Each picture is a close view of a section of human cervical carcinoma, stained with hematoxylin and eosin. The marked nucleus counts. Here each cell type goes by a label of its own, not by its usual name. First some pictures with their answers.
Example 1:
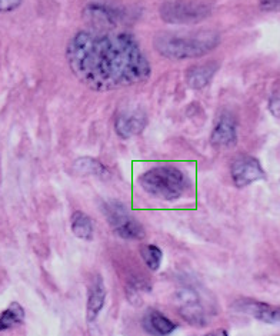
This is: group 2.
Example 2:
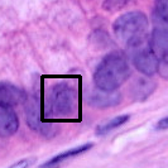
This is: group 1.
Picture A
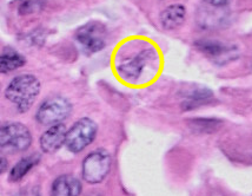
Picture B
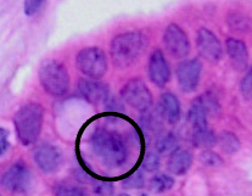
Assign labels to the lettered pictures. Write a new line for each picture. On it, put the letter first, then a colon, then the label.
A: group 2.
B: group 1.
